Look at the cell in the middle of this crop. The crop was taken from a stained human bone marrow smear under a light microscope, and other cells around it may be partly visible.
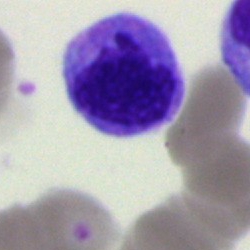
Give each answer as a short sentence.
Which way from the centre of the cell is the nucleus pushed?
It is shifted toward the bottom of the cell.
